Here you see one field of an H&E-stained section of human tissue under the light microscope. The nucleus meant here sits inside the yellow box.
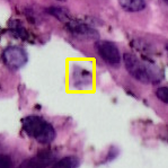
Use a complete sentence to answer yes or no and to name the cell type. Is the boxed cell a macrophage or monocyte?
Yes, that is right: the boxed cell is a macrophage or monocyte.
